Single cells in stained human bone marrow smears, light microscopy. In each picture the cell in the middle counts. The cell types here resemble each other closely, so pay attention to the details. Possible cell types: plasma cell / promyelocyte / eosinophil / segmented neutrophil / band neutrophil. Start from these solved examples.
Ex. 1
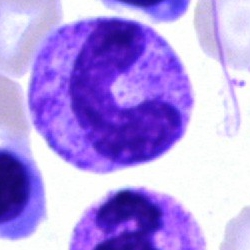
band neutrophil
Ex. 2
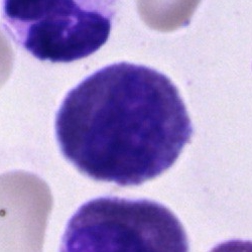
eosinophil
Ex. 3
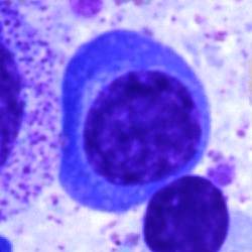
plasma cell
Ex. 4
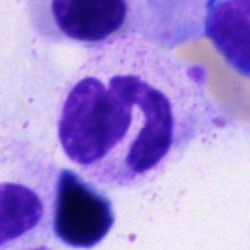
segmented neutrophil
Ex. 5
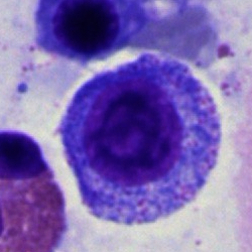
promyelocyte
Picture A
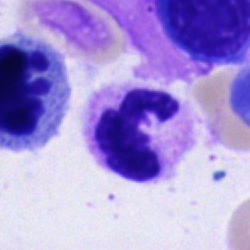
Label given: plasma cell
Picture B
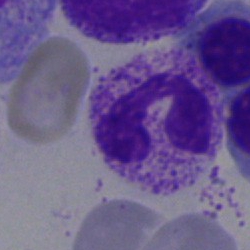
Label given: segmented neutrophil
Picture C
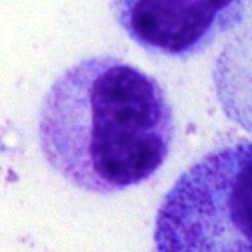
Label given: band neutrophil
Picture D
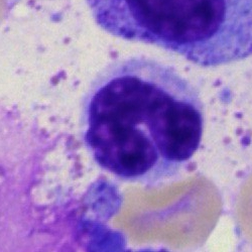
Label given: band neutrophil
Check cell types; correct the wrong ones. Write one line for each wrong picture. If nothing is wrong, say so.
Wrong: A (plasma cell); correct: segmented neutrophil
